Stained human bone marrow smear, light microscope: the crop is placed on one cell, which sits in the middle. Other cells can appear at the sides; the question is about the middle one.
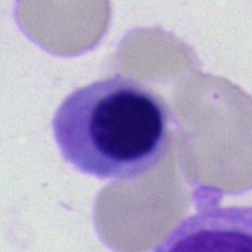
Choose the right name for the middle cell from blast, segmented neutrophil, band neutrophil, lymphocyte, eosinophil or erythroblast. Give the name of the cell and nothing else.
erythroblast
